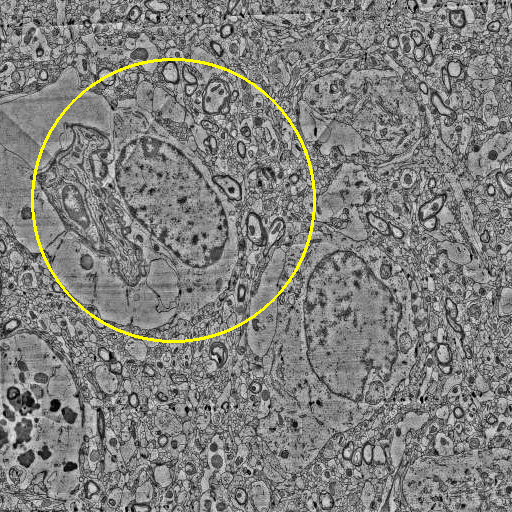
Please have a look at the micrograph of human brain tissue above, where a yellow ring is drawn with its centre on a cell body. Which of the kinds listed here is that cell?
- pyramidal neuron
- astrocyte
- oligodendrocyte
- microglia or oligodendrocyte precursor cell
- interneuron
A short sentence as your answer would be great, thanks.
At the centre of the ring sits a microglial cell or oligodendrocyte precursor cell.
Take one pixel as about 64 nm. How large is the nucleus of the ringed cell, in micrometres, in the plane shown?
The nucleus comes to approximately 9 by 5 micrometres and is clearly longer than it is wide in this plane.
